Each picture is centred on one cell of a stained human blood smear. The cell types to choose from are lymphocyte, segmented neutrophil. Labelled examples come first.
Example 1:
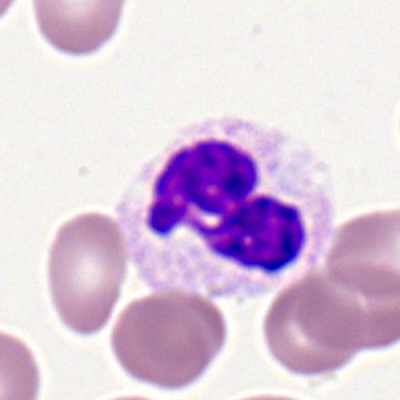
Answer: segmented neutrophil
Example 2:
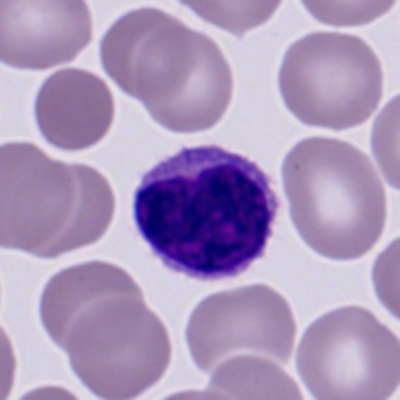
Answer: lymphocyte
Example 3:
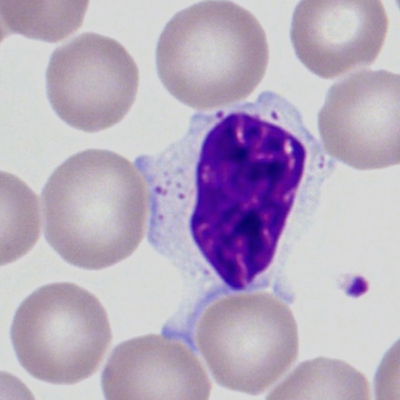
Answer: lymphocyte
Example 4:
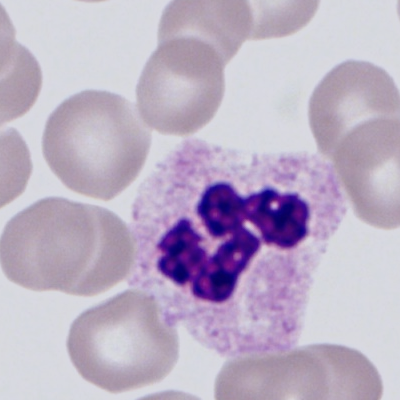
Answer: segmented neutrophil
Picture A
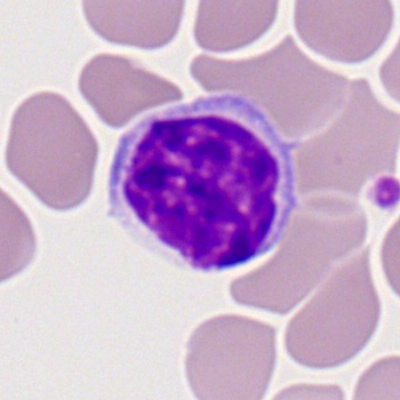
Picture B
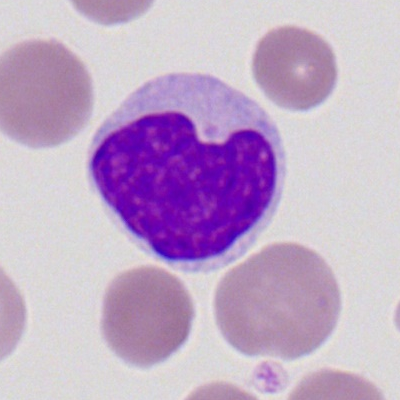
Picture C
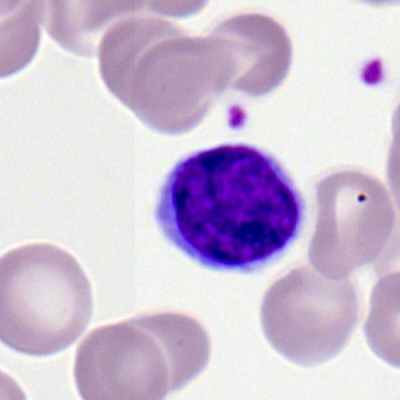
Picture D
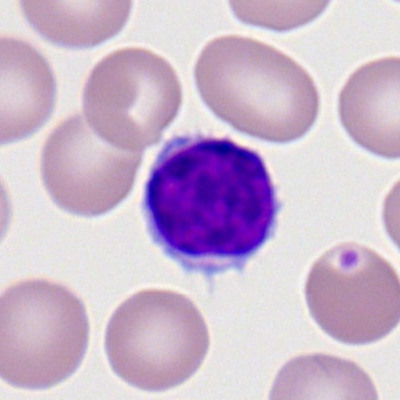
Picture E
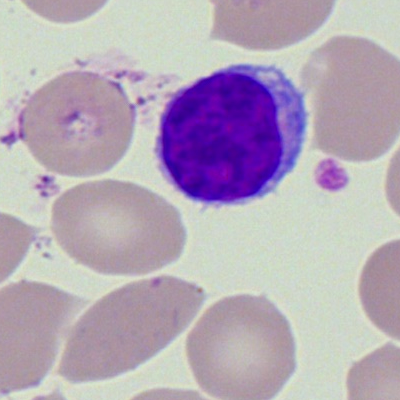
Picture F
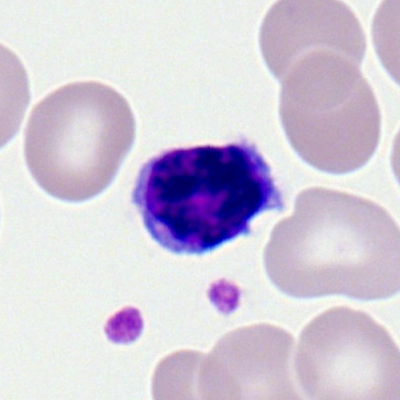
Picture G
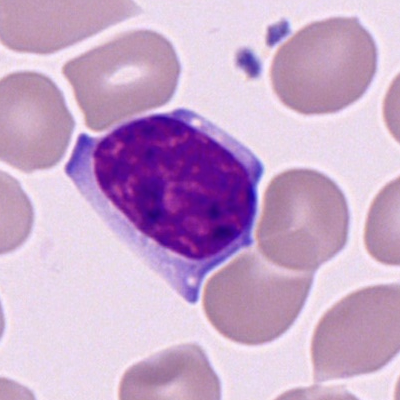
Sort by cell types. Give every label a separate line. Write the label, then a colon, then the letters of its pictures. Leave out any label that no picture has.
lymphocyte: A, B, C, D, E, F, G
